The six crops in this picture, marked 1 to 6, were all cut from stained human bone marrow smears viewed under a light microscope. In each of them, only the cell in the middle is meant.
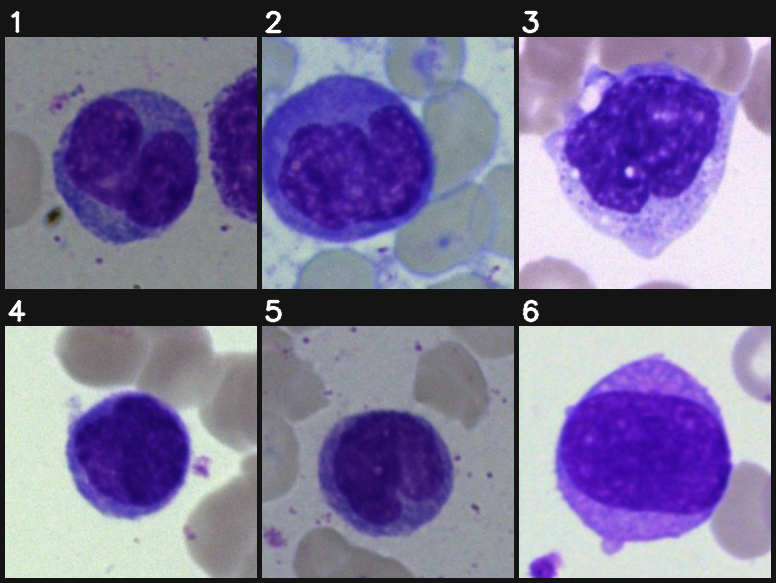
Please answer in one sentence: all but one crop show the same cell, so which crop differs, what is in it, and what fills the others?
Crop 6 is singled out as a blast, and all of the other crops show monocytes.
